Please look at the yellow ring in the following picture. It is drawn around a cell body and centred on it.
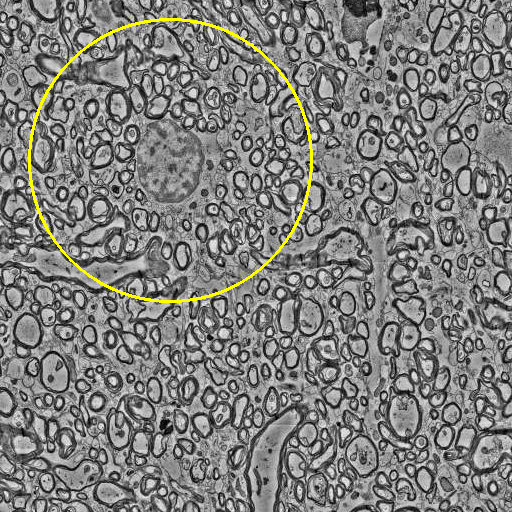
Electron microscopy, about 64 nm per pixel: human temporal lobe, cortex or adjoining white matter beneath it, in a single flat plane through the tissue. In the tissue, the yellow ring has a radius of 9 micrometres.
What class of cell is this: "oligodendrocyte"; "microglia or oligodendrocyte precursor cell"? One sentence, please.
The ring surrounds the cell body of an oligodendrocyte.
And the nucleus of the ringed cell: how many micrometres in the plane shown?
In this plane, about 6 micrometres in length and 5 in width.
